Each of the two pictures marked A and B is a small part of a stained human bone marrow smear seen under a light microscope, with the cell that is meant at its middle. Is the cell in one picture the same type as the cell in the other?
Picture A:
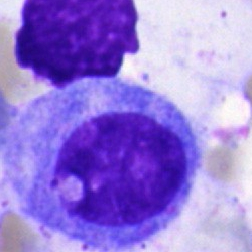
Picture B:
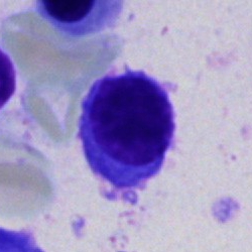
yes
